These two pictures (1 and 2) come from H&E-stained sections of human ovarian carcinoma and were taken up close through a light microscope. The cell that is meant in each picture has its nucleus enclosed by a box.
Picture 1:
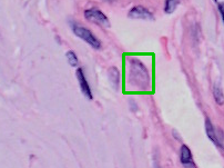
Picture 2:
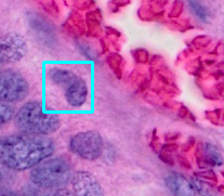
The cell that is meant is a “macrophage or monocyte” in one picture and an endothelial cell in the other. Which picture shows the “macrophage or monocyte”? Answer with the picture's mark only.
2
